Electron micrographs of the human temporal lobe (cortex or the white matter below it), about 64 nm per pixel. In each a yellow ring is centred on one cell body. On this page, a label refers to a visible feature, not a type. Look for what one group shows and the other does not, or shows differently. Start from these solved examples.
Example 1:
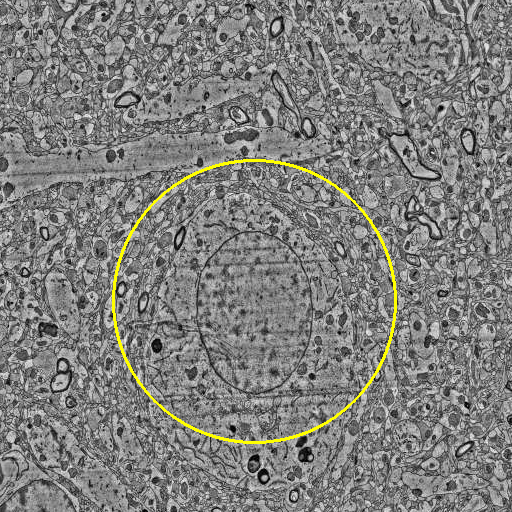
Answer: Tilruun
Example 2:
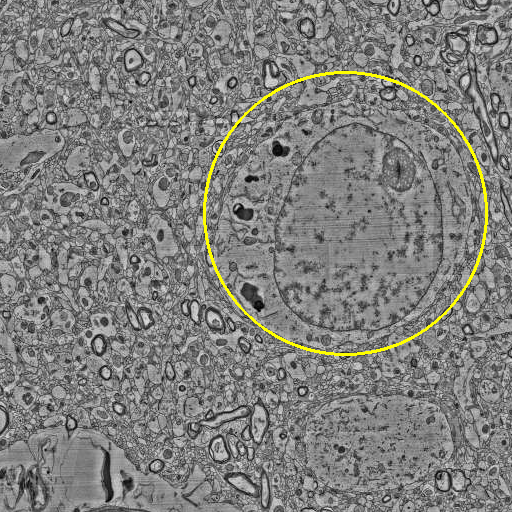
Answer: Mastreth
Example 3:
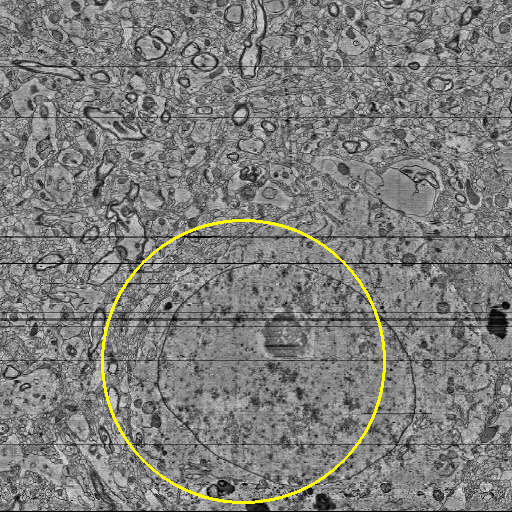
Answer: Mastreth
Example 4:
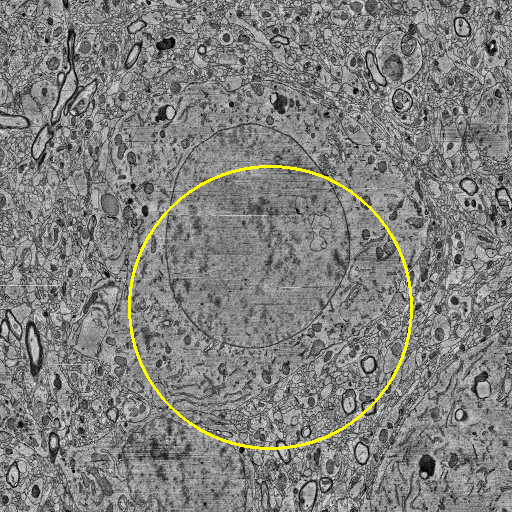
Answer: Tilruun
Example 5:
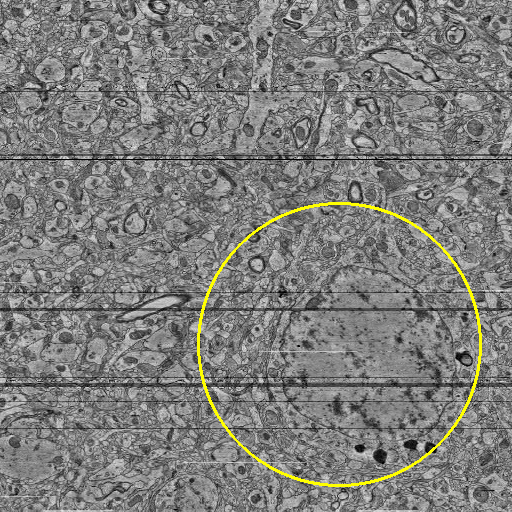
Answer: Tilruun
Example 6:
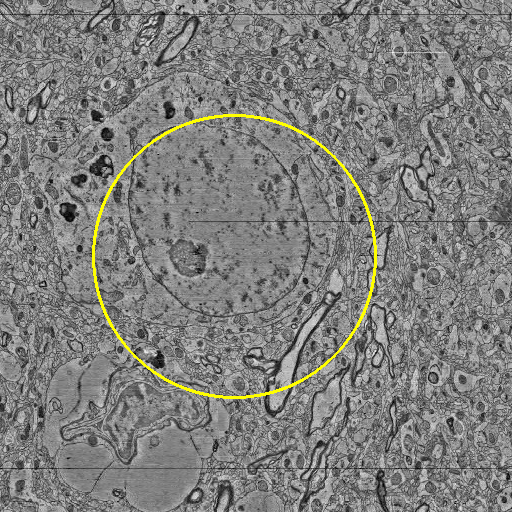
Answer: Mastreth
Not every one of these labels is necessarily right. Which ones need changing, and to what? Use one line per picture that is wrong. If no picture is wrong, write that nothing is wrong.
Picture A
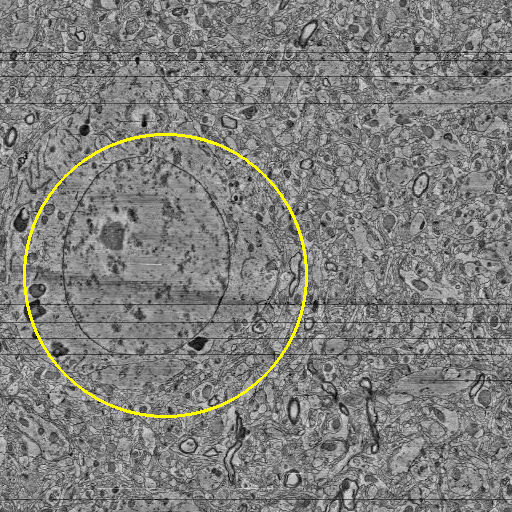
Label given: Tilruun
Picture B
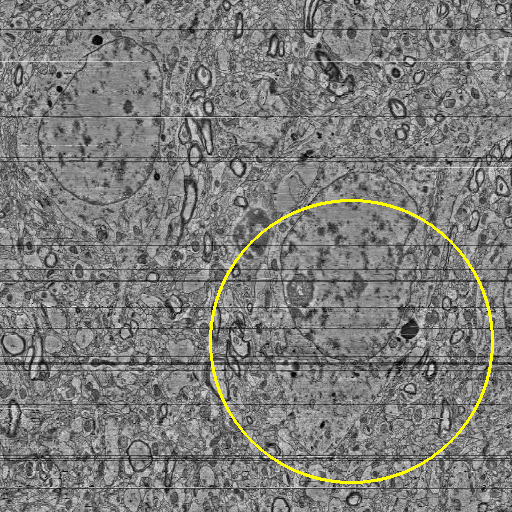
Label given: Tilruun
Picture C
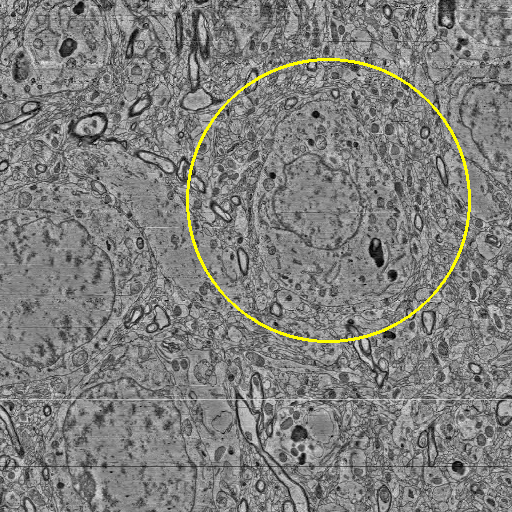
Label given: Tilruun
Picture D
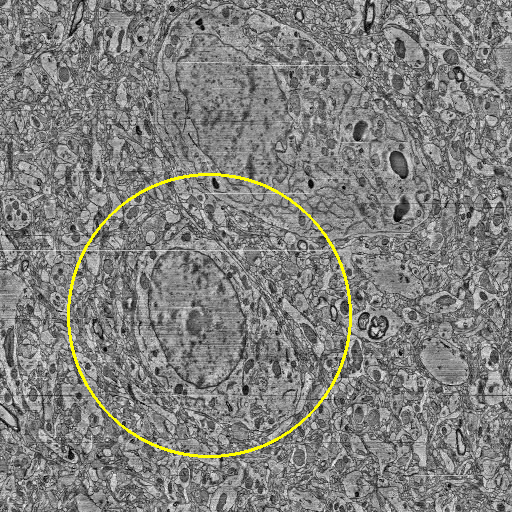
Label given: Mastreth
A should be Mastreth, not Tilruun
B should be Mastreth, not Tilruun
